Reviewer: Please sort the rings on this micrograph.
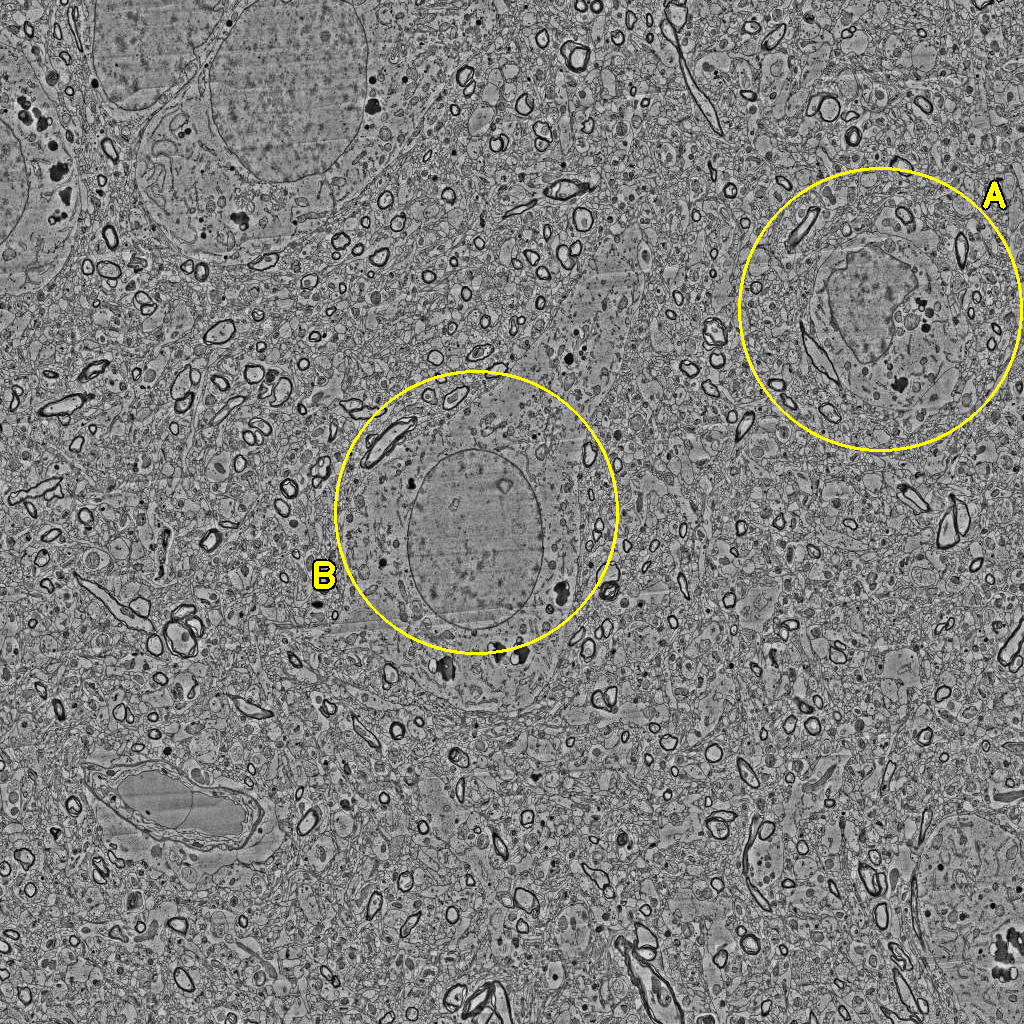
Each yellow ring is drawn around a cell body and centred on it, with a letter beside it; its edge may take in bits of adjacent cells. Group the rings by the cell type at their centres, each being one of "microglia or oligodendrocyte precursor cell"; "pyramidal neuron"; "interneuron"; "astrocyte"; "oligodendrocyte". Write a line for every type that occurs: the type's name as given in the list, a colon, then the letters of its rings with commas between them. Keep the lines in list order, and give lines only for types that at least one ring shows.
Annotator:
pyramidal neuron: B
interneuron: A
